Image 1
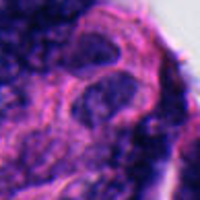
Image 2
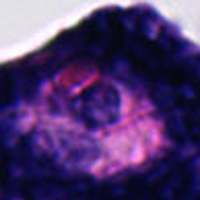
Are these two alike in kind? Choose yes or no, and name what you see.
Yes. Cytotrophoblasts.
